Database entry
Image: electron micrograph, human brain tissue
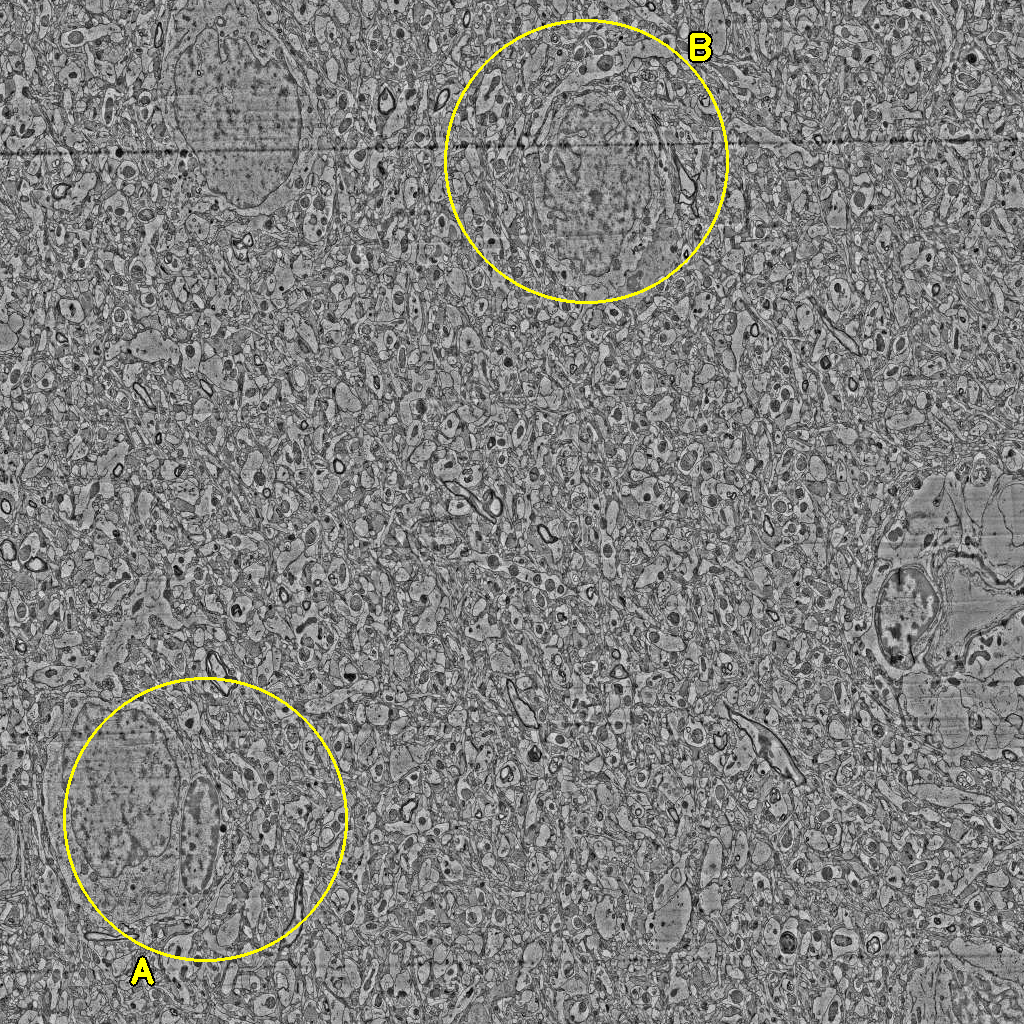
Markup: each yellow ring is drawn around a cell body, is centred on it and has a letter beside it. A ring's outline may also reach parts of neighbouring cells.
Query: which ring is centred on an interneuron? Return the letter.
B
